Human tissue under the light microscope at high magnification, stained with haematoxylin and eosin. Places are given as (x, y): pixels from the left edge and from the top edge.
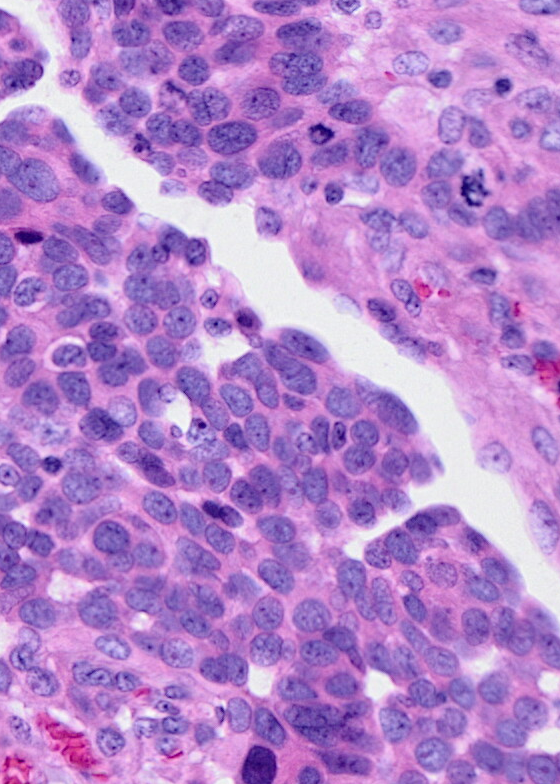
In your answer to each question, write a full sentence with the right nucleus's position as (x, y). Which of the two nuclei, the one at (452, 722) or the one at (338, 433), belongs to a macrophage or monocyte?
The nucleus whose position is (338, 433) belongs to a macrophage or monocyte.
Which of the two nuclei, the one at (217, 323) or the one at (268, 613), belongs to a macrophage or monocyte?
Of the two candidate nuclei, the one at (217, 323) is that of a macrophage or monocyte.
